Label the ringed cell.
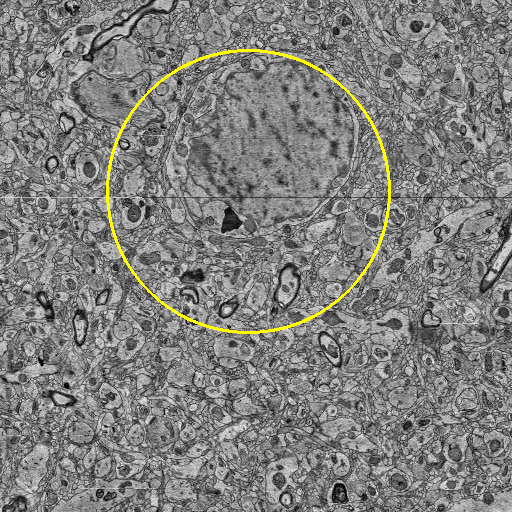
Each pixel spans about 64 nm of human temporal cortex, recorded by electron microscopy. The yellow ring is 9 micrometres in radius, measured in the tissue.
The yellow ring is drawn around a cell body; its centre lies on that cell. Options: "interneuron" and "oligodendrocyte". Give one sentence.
The ringed cell is an interneuron.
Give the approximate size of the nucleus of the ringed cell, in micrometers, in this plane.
In this plane, roughly 11 by 9 micrometres.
